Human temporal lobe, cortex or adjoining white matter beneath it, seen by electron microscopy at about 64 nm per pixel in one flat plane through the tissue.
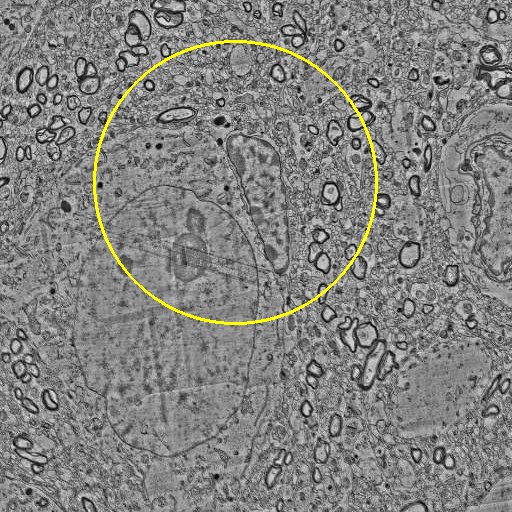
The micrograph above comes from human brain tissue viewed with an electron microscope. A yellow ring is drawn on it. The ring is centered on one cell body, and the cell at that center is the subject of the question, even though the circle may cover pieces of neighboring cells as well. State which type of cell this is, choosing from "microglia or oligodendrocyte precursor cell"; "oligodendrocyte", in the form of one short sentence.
The cell the ring is centered on is a microglial cell or oligodendrocyte precursor cell.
